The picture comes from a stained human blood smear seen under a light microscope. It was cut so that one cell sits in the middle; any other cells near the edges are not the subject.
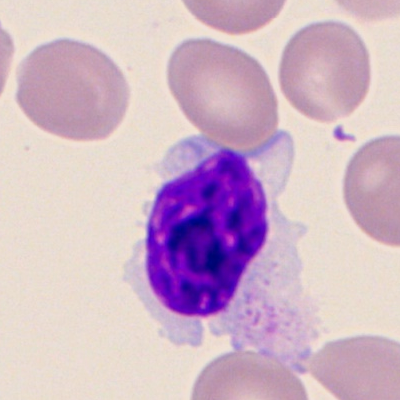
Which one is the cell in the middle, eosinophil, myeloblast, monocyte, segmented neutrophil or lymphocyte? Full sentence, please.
Present in the middle of the crop is a lymphocyte.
